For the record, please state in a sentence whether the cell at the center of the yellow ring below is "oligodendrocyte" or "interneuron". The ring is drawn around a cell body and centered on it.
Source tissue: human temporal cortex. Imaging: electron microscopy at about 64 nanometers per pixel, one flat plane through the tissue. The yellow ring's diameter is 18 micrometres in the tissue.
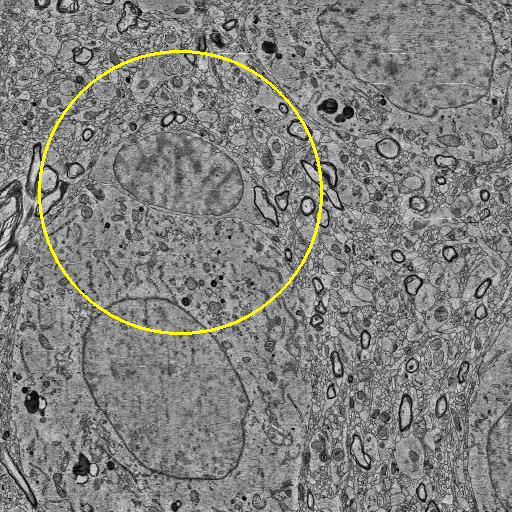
The cell at the ring's center is an oligodendrocyte.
